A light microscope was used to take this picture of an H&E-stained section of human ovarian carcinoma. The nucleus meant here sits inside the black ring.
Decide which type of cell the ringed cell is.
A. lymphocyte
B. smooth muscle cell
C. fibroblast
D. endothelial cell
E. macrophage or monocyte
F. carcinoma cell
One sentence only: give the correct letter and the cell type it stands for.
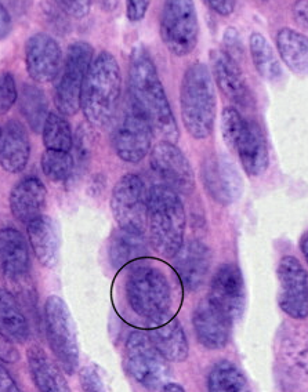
Of the options given, F is right: the ringed cell is a carcinoma cell.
